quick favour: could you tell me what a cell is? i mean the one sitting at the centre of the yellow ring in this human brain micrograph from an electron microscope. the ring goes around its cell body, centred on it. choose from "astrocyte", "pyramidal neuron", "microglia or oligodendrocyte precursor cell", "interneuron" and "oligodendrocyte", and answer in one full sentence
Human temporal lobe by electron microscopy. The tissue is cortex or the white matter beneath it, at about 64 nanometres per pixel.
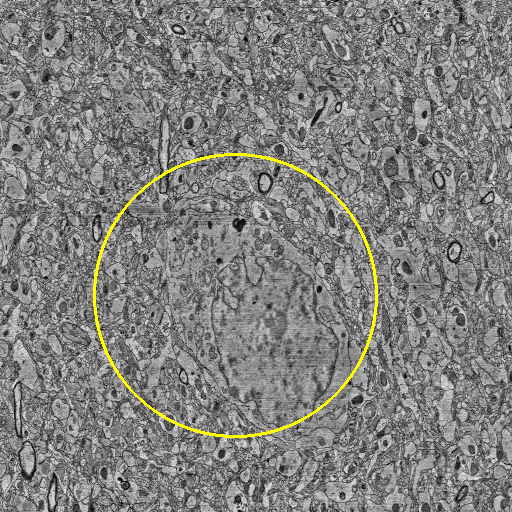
That's an interneuron, the cell sitting at the centre of the yellow ring.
